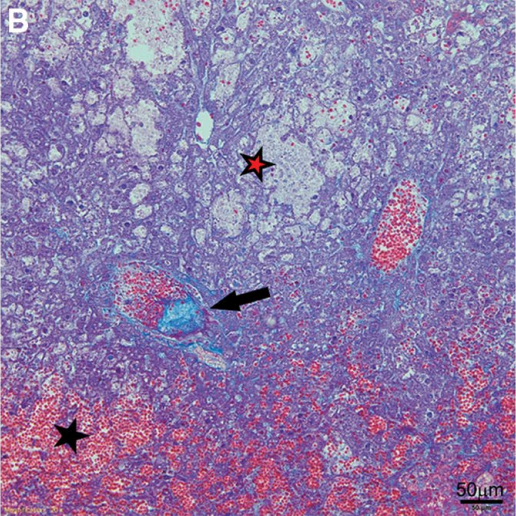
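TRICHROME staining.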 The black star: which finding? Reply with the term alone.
Haemorrhage.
